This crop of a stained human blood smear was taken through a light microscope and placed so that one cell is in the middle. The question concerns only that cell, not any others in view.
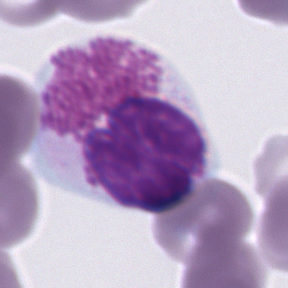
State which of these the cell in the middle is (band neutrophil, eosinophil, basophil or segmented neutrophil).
eosinophil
